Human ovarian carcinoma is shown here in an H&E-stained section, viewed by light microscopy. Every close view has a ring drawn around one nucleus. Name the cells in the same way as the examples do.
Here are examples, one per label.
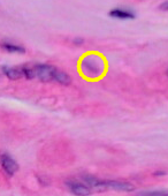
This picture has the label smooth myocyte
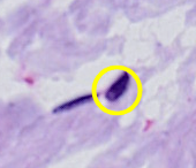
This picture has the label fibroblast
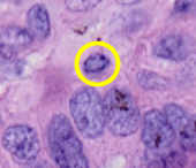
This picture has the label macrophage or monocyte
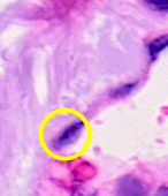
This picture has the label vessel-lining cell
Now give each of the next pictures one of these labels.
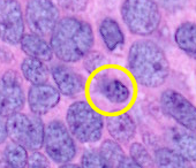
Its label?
macrophage or monocyte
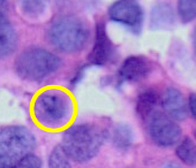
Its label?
macrophage or monocyte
